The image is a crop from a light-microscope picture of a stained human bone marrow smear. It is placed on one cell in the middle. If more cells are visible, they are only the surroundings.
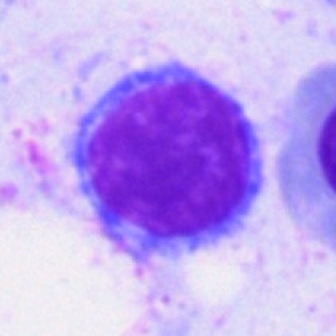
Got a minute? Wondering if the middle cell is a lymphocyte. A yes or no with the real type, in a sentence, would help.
Yes, the cell found in the center of the crop is a lymphocyte.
